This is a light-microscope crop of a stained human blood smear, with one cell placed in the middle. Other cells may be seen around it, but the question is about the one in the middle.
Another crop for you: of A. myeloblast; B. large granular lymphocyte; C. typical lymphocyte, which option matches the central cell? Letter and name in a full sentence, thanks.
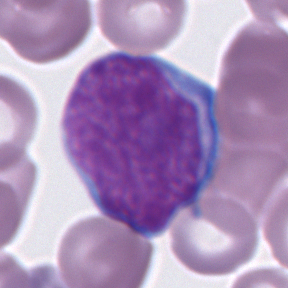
In the middle of the crop is a myeloblast; option A is therefore correct.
